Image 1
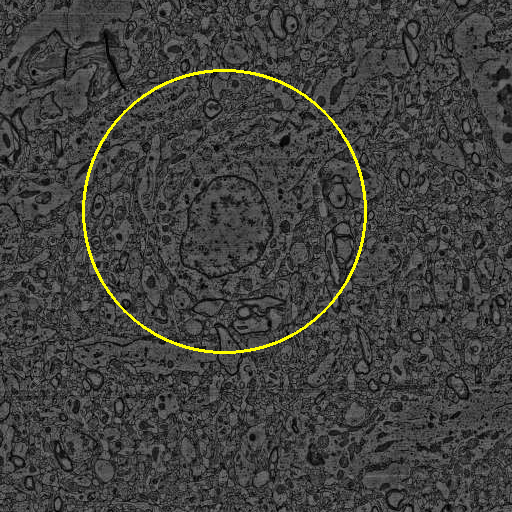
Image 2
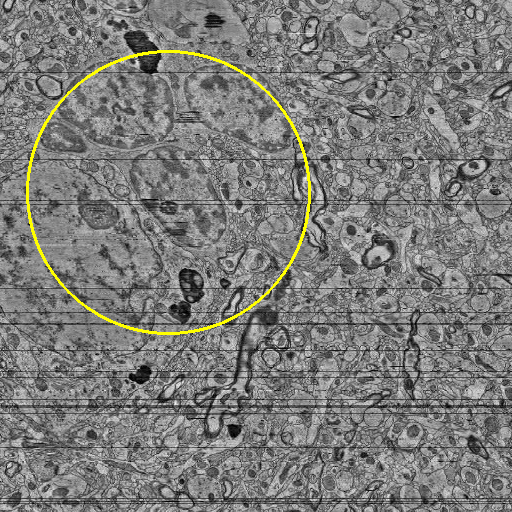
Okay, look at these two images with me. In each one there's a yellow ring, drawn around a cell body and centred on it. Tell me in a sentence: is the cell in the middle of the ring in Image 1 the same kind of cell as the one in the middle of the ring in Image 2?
No, they're two kinds of cell.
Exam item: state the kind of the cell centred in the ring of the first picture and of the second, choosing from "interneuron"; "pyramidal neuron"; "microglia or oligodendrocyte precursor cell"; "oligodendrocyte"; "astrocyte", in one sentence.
The first picture shows a pyramidal neuron at the ring centre and the second shows an oligodendrocyte.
